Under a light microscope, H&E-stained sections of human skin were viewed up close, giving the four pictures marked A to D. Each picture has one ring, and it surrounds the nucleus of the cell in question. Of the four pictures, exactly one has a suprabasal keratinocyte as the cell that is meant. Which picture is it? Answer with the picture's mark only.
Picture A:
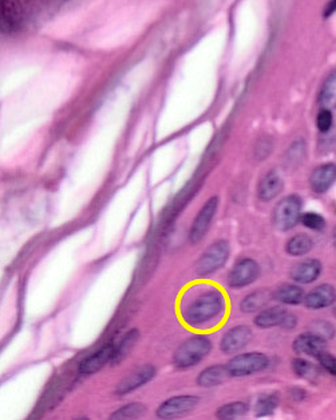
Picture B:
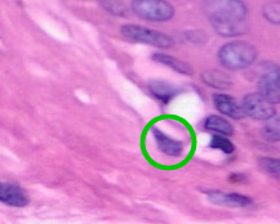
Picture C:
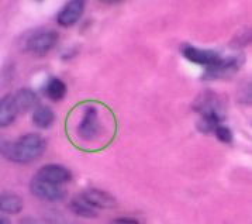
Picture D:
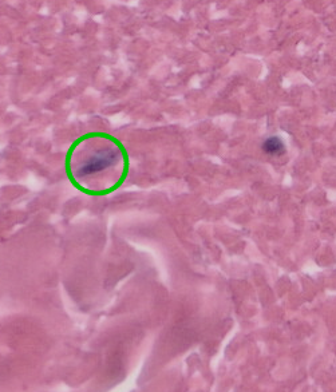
A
